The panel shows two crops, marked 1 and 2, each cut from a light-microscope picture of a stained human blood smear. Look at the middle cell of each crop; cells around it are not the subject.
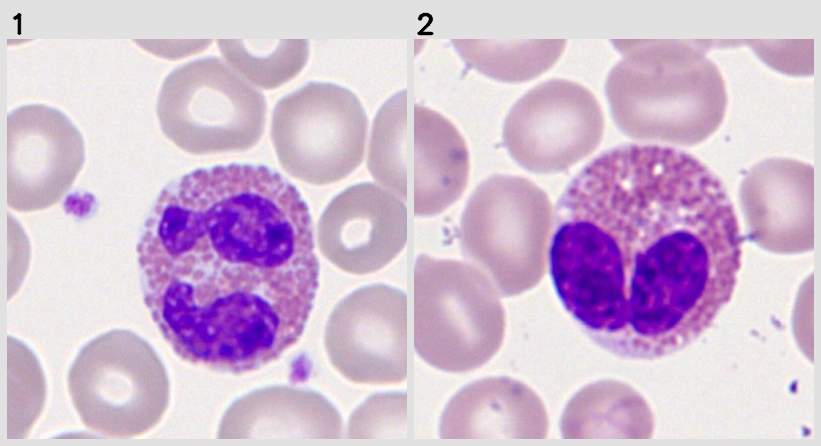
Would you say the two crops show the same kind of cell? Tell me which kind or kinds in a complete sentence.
Yes, what both crops show is eosinophils.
